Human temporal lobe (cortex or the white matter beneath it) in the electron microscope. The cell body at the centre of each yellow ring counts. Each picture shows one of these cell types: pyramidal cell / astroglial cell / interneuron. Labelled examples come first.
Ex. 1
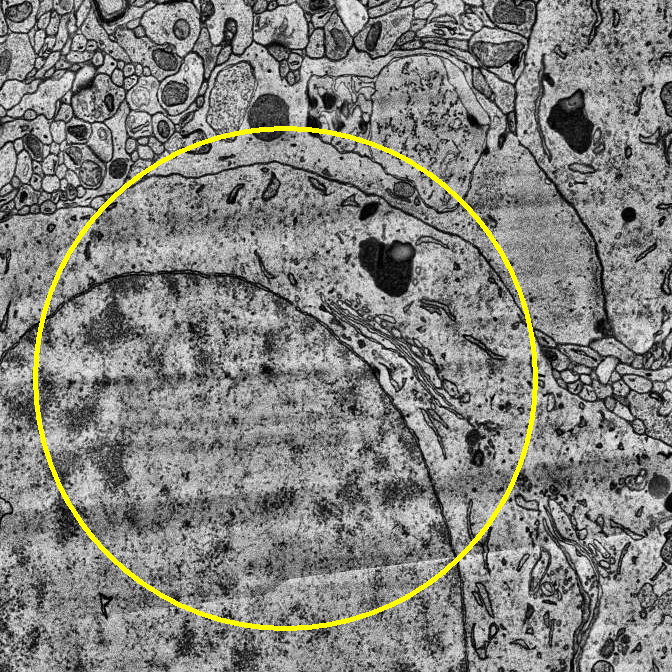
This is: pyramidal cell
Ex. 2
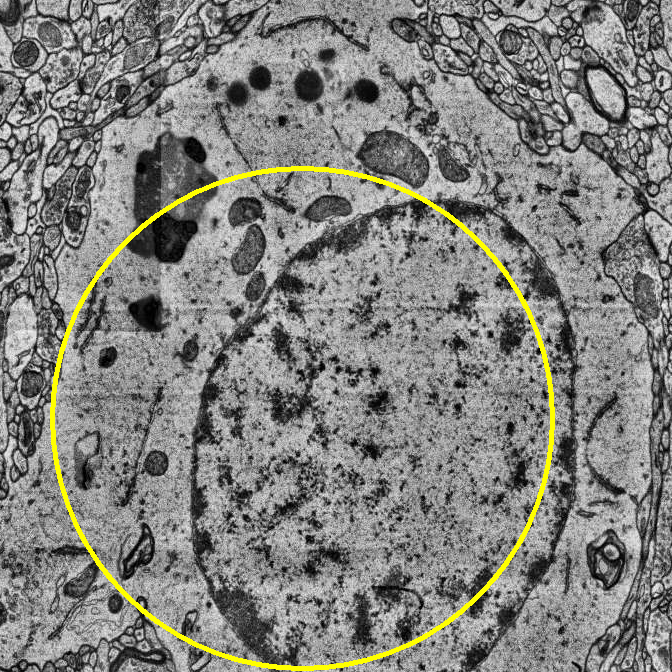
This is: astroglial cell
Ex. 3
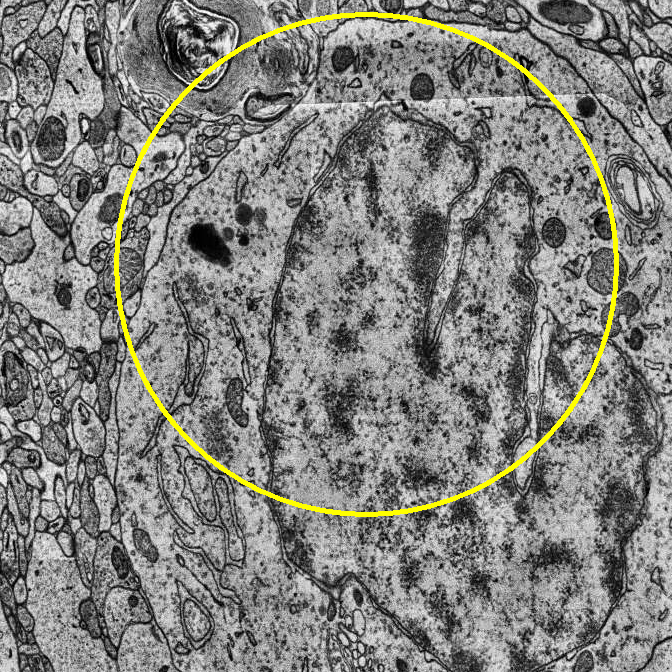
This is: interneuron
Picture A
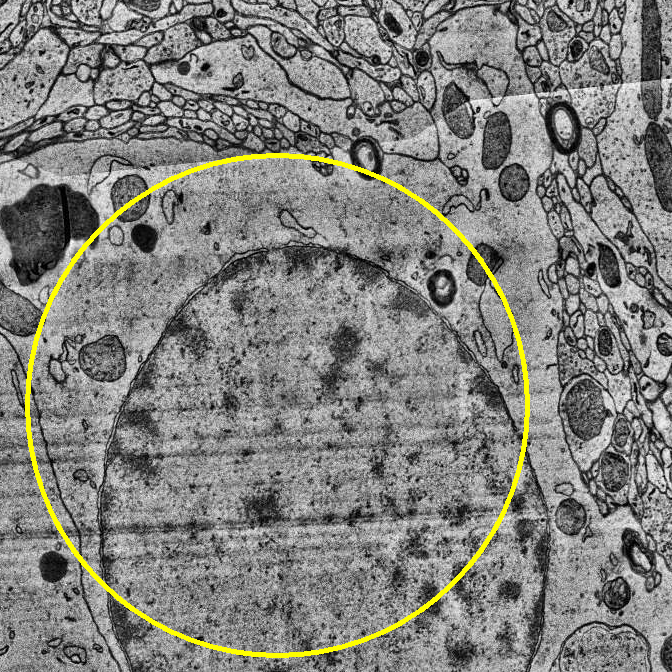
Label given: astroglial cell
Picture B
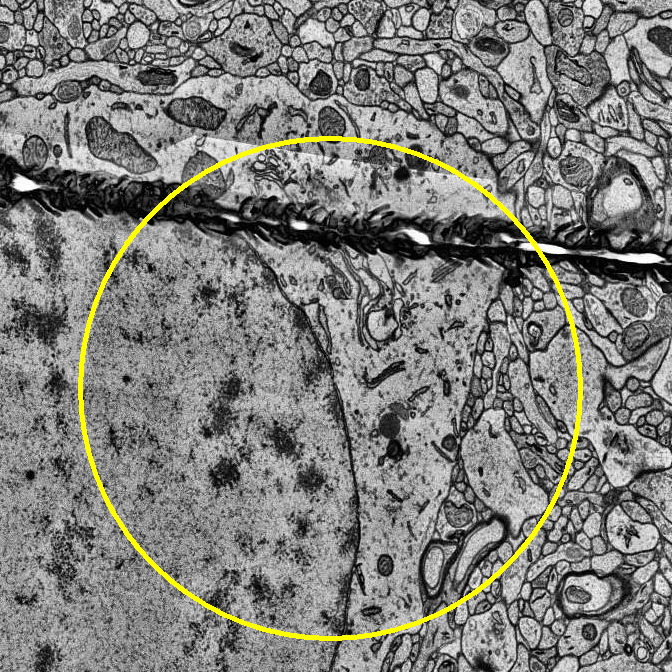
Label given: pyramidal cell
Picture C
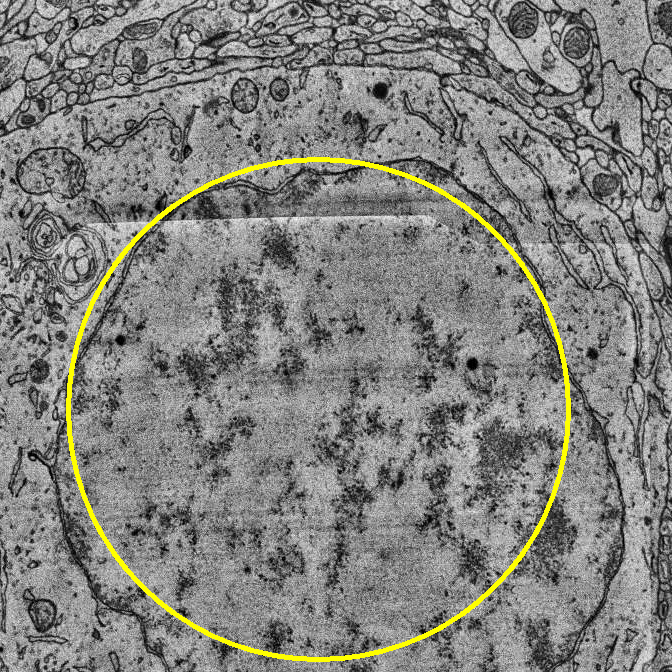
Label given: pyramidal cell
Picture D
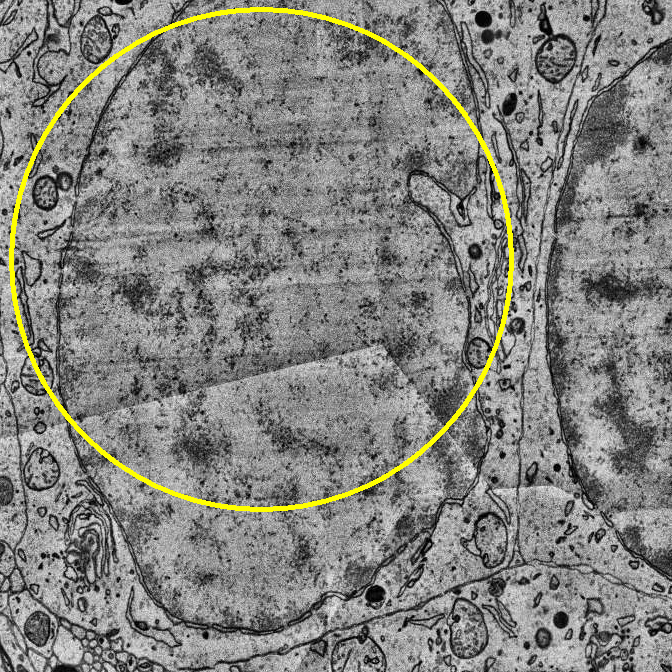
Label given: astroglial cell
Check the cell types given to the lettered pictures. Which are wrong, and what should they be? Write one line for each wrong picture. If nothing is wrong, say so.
D is labelled astroglial cell; correct label: pyramidal cell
